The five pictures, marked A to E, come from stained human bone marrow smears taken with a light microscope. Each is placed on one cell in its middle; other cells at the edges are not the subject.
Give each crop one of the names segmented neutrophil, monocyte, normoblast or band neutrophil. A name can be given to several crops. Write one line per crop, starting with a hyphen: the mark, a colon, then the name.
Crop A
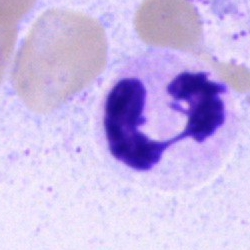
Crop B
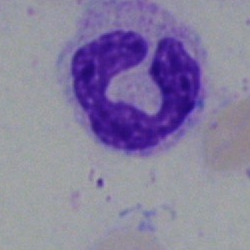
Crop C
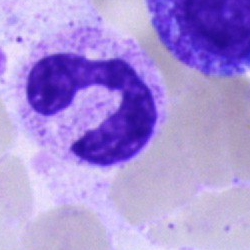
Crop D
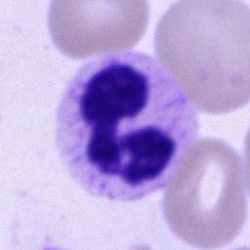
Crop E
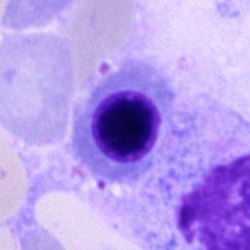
- A: segmented neutrophil
- B: band neutrophil
- C: band neutrophil
- D: segmented neutrophil
- E: normoblast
